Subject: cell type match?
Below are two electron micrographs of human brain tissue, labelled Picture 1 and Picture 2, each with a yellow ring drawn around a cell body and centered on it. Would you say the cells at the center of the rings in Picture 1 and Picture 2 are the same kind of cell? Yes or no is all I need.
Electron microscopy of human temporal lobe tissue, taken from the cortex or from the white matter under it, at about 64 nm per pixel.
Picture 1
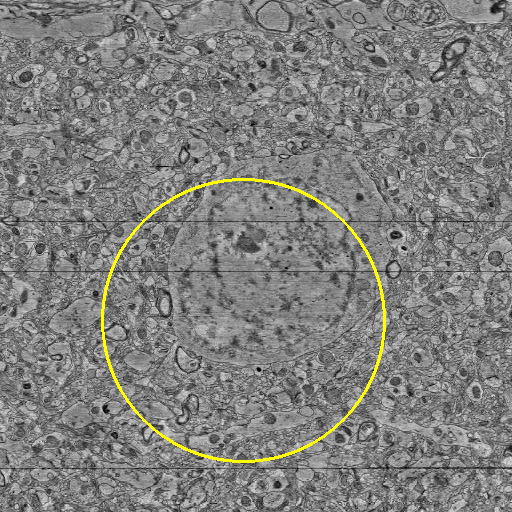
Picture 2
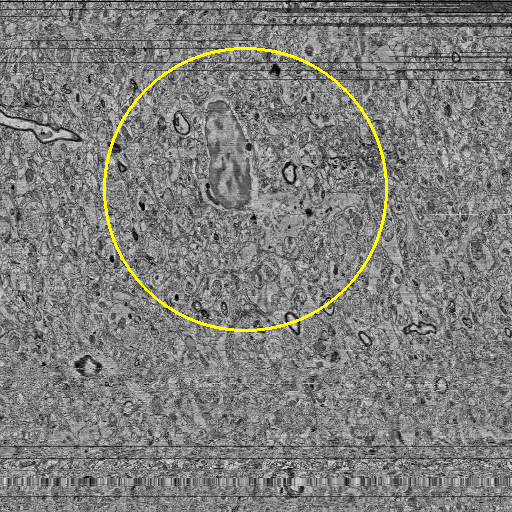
no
